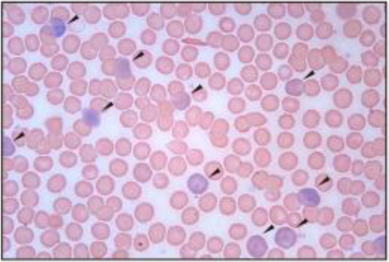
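Peripheral blood smear crowded with anucleate red blood cells, with scattered reticulocytes among them. Most cells are round pink discs of fairly even size, many with a paler centre, lying side by side and touching without overlapping much. Here and there a slightly larger round cell stands out because its cytoplasm is tinged bluish-purple instead of pink. These bluish cells also lack a nucleus and are spread singly across the field. Only a few cells are elongated or distorted in shape.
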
